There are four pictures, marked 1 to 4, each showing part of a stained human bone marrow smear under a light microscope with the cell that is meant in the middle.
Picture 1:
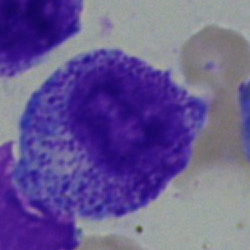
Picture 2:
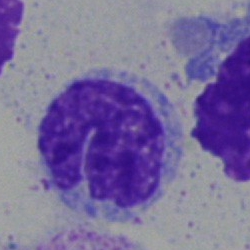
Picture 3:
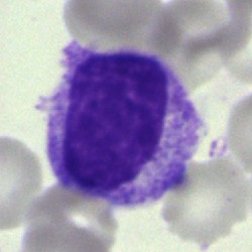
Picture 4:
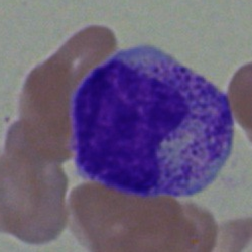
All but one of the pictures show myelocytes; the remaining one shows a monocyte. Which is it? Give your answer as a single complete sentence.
Picture 2 is the one that shows the monocyte.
